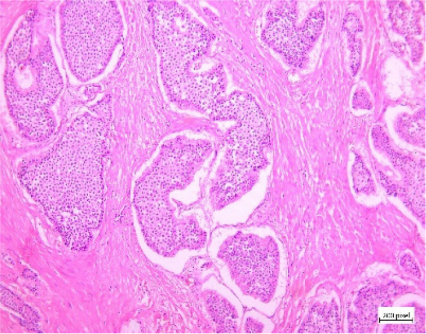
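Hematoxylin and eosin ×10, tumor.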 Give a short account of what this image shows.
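This is a tumour with organoid architecture, in which the tumour cells are arranged in nests and insular groups with some trabecular cords. The cell islands are rounded or irregular and are separated by broad bands of pink fibrous stroma, with clefts between the nests and the stroma. The tumour cells look monotonous and regular, with round to oval purple nuclei. Some nests show small gland-like spaces within them.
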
